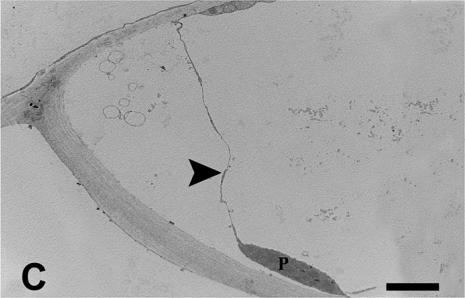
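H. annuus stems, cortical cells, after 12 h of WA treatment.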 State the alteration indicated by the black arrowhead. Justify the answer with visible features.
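A thin membrane line runs across the cell lumen, separated from the thick cell wall. That points to this answer: plasmolysis.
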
